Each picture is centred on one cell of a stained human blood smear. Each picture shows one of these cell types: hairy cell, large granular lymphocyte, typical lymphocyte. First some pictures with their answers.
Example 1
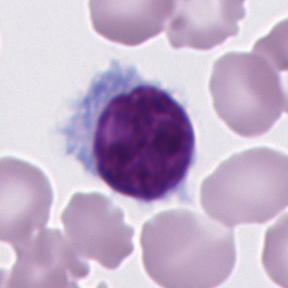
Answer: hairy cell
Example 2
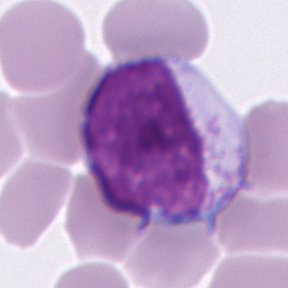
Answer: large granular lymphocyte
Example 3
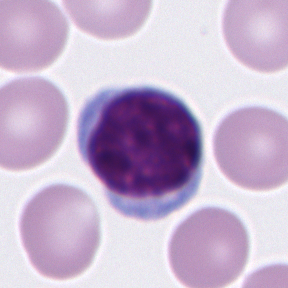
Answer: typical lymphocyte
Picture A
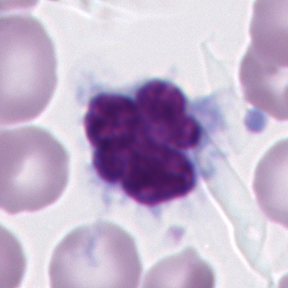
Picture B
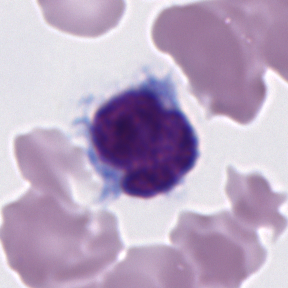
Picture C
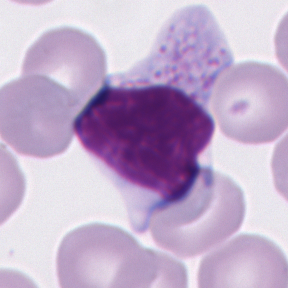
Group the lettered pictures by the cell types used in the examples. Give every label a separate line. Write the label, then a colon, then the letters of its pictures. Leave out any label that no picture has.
hairy cell: A, B
large granular lymphocyte: C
